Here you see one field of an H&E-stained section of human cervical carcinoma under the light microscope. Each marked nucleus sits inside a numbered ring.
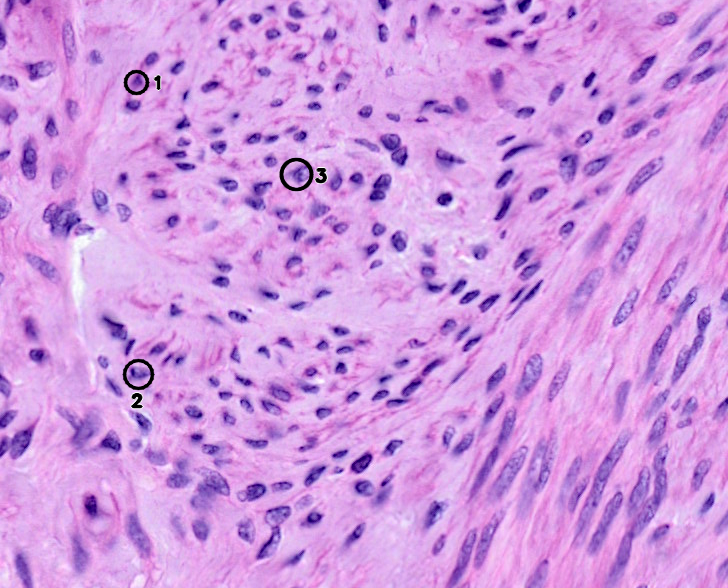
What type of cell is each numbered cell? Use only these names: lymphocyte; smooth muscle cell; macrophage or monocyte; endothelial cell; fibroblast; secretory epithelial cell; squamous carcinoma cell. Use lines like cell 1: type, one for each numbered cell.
cell 1: smooth muscle cell
cell 2: fibroblast
cell 3: smooth muscle cell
